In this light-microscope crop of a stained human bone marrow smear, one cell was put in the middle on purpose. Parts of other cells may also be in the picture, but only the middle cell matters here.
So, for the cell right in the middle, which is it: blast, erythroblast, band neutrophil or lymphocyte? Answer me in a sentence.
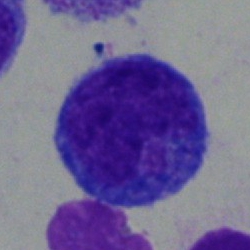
The cell of interest, located centrally, is a blast.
